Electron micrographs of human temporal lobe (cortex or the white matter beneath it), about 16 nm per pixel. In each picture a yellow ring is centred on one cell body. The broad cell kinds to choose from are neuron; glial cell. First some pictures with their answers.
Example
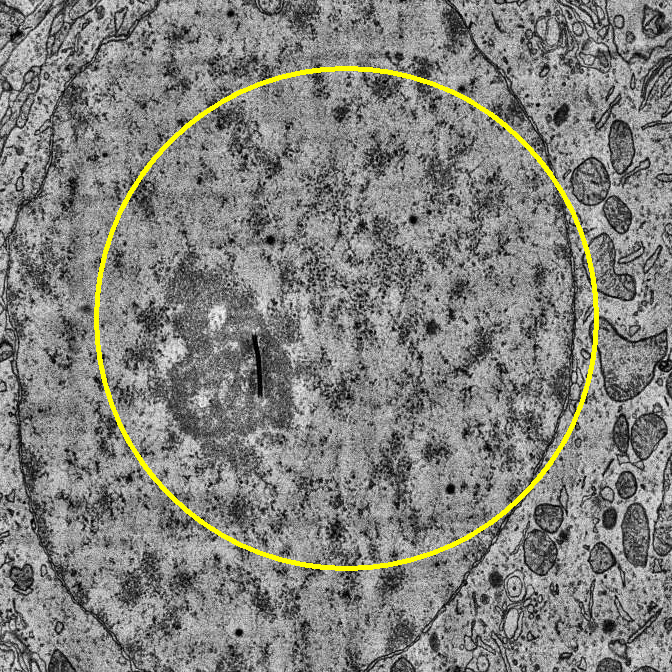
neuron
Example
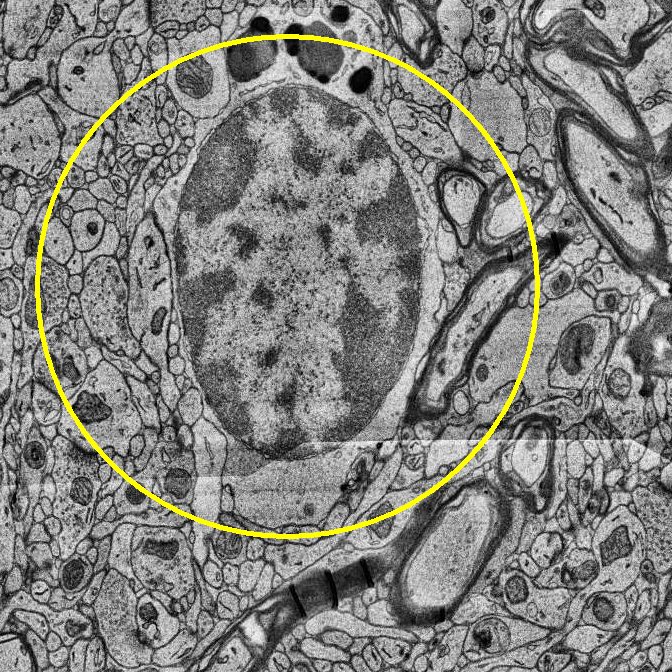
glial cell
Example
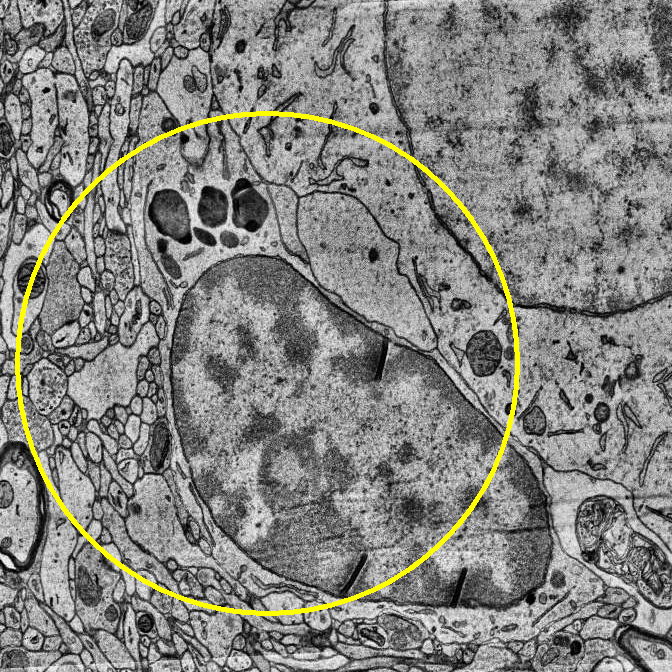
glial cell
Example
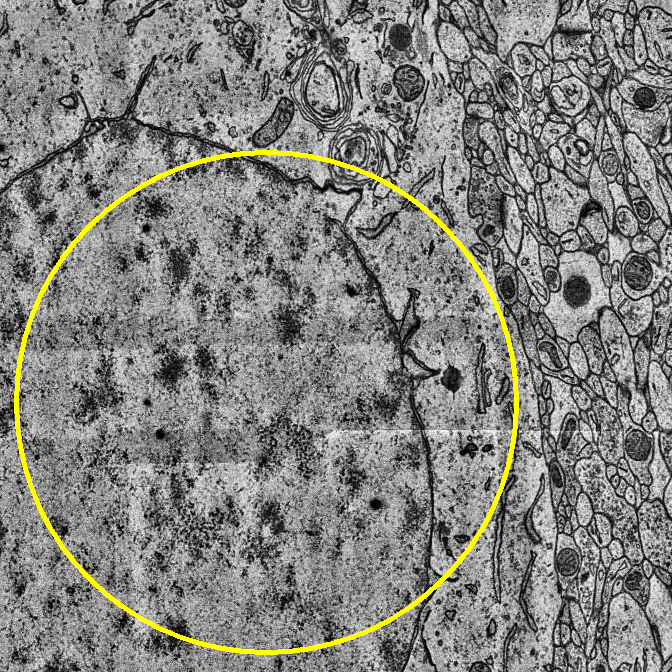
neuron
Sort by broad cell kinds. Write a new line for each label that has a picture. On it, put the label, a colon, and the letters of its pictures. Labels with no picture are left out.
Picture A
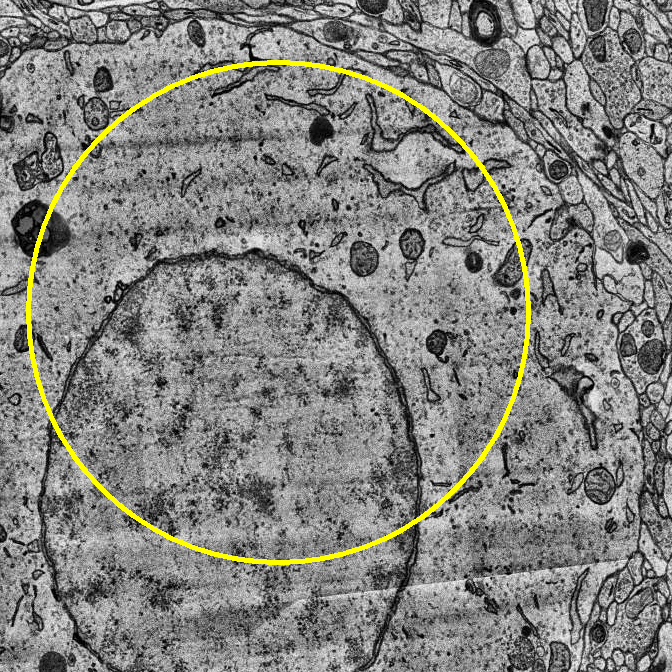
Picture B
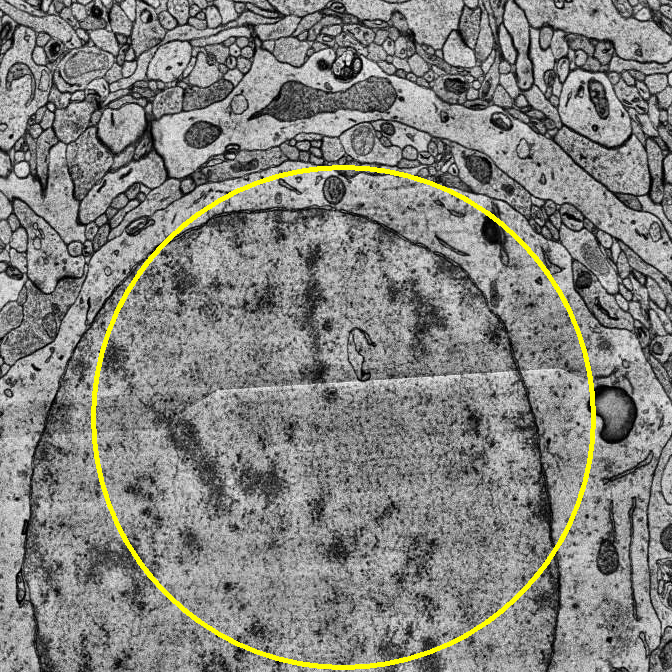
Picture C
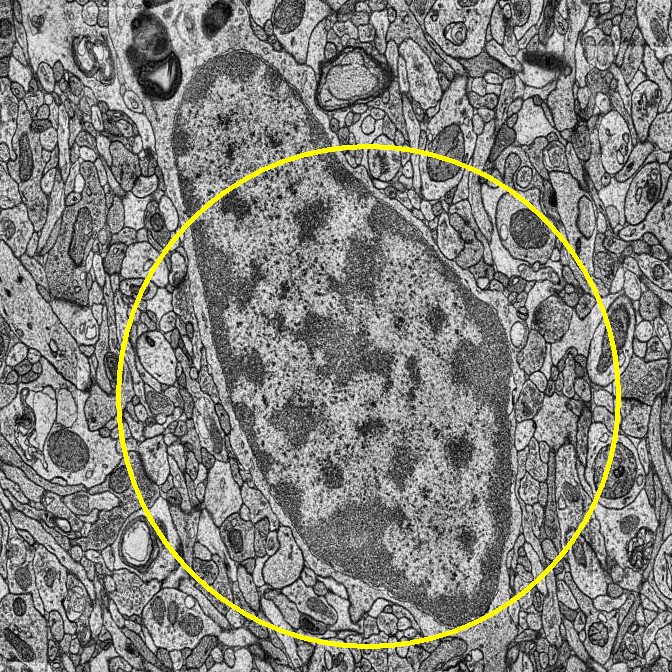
neuron: A, B
glial cell: C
